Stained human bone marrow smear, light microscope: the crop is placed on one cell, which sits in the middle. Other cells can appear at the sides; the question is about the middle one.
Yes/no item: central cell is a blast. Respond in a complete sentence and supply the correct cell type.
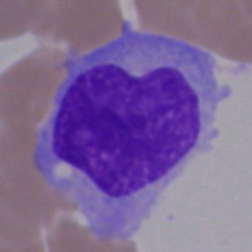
No, looking at the central cell, it is a monocyte rather than a blast.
